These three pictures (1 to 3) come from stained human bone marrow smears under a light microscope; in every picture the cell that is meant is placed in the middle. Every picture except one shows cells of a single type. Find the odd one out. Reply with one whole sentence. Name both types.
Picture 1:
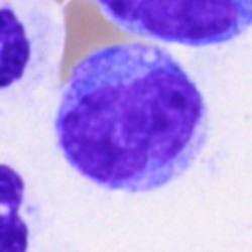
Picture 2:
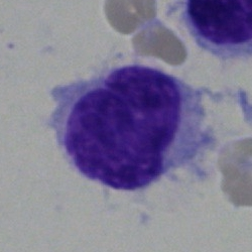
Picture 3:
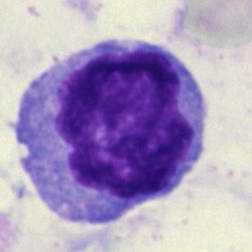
The different one is picture 2; it shows a hairy cell, whereas all the others show monocytes.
